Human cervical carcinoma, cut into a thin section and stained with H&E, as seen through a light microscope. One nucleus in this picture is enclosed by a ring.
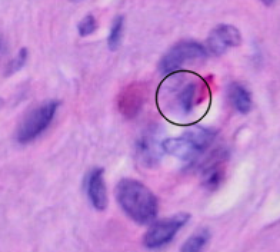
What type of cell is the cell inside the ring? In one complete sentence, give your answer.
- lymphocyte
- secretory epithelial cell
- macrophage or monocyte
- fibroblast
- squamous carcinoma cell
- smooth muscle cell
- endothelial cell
What the cell inside the ring represents is an endothelial cell.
